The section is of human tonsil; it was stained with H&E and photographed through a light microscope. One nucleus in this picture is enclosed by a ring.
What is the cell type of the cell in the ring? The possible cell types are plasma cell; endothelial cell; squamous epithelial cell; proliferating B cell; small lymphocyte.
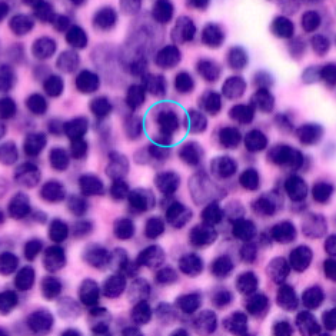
small lymphocyte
